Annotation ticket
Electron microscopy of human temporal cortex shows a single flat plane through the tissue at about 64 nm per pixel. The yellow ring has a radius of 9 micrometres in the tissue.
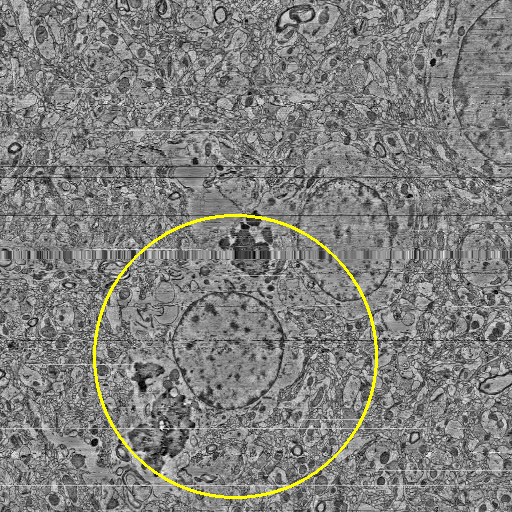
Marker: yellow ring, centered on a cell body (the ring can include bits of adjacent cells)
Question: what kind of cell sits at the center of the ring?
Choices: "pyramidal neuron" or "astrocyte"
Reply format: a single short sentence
The ring is centered on an astrocyte.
